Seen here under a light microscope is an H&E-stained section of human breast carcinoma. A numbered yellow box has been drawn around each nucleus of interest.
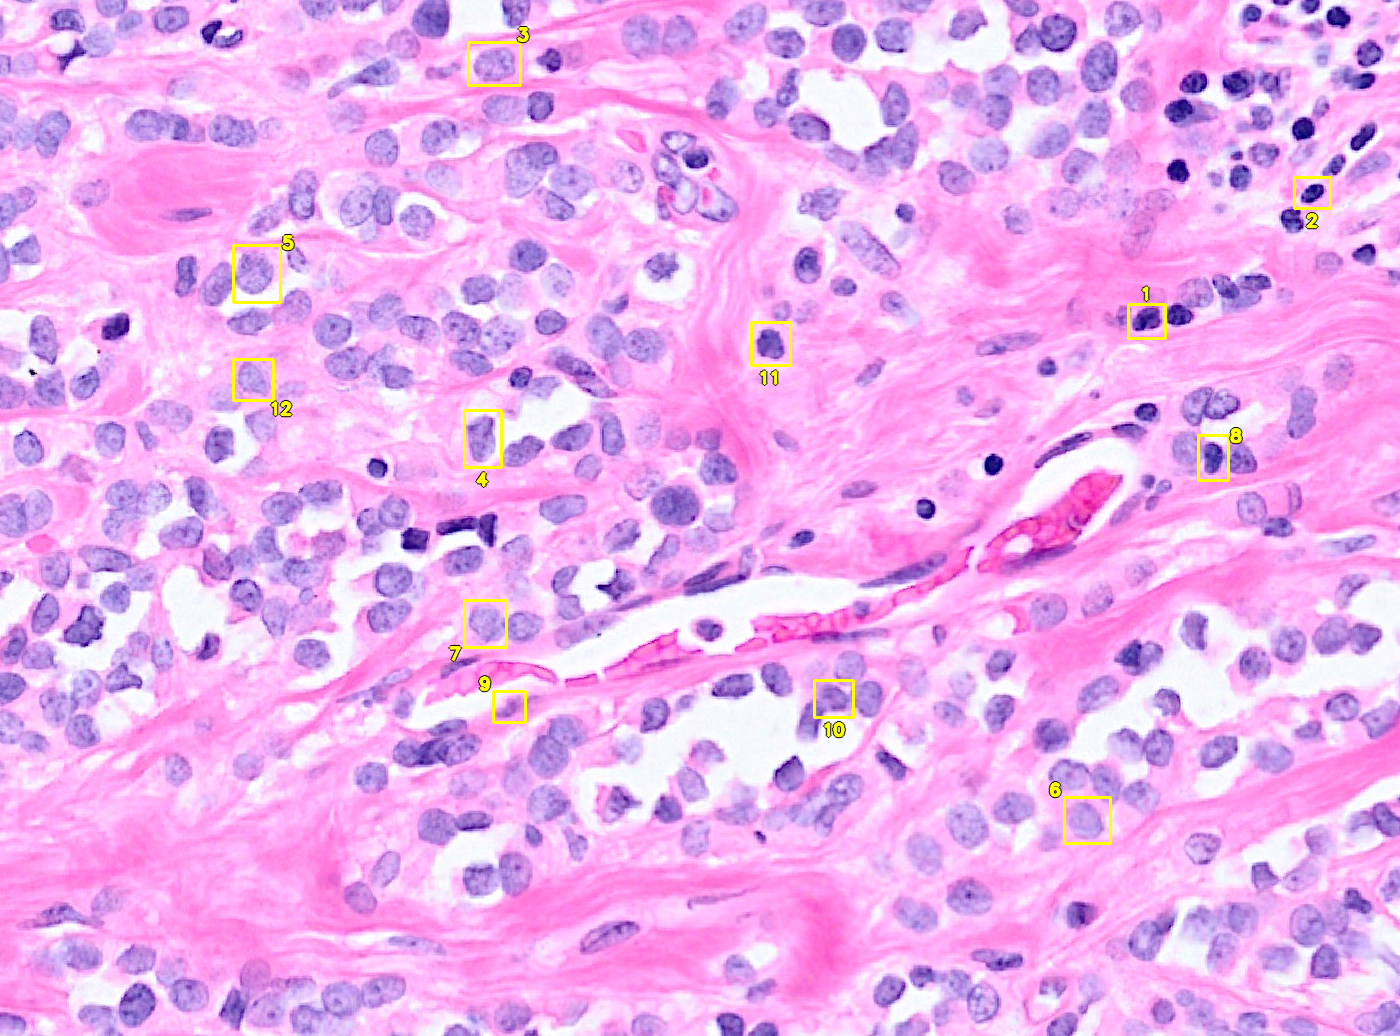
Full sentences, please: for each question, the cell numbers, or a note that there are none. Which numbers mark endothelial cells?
The nucleus labelled 9 alone belongs to an endothelial cell; the other marked nuclei do not.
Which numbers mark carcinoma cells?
As for the cells numbered 3, 4, 5, 6, 7, 10 and 12, they are carcinoma cells.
